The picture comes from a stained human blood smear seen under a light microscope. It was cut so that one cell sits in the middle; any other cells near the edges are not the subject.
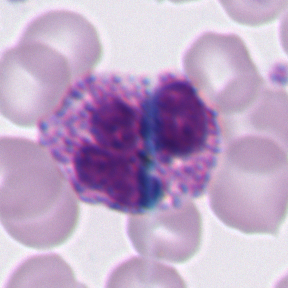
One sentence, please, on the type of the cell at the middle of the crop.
The cell at the middle of the frame should be recorded as a basophil.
